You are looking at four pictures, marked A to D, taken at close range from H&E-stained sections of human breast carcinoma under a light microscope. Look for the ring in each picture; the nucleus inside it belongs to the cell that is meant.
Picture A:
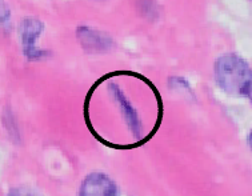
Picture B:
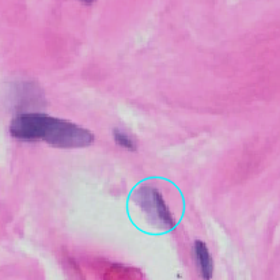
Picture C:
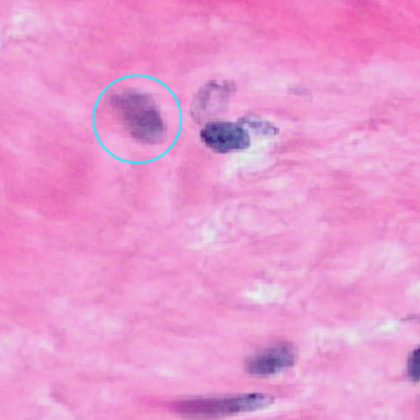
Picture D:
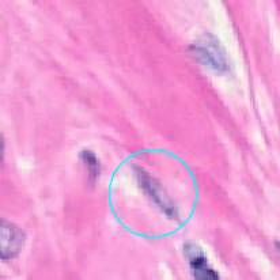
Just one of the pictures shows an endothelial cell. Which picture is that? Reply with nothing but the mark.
B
